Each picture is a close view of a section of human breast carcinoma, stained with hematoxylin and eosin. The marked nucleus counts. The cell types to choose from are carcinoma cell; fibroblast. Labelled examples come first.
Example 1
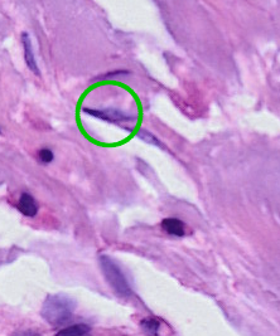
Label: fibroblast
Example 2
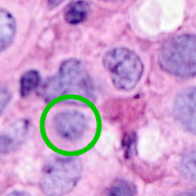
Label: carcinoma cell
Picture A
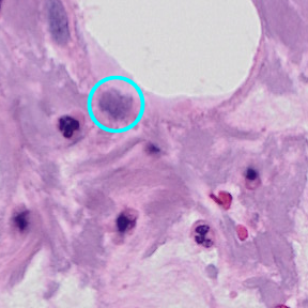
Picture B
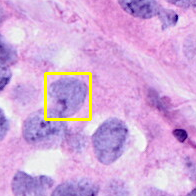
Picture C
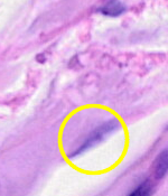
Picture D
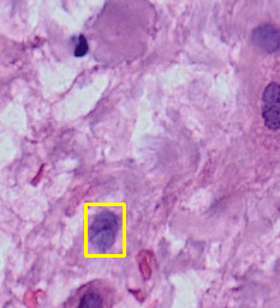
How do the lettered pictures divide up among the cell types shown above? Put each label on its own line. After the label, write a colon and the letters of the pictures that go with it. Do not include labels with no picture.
carcinoma cell: B
fibroblast: A, C, D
